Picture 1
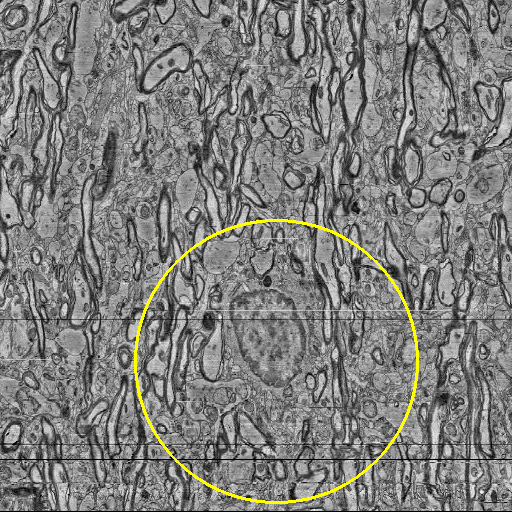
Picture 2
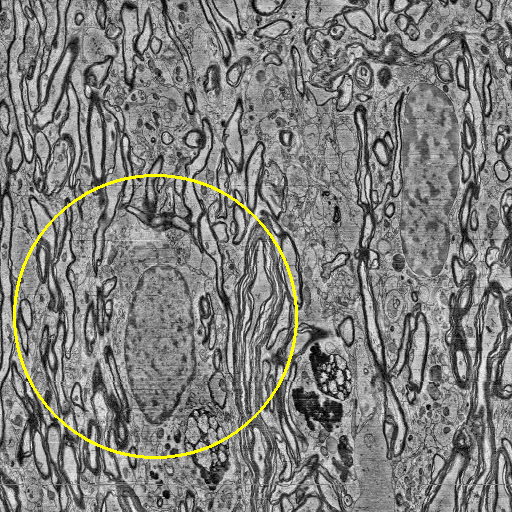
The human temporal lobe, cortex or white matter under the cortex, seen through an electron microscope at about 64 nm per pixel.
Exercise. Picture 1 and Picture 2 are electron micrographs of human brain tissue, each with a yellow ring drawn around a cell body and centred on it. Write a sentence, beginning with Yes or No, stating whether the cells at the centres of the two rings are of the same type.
No, the cells at the centres of the rings are of two types.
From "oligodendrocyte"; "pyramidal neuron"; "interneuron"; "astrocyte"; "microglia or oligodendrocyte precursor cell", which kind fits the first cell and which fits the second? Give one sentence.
The cell marked in the first picture is an oligodendrocyte, and the one marked in the second is an astrocyte.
